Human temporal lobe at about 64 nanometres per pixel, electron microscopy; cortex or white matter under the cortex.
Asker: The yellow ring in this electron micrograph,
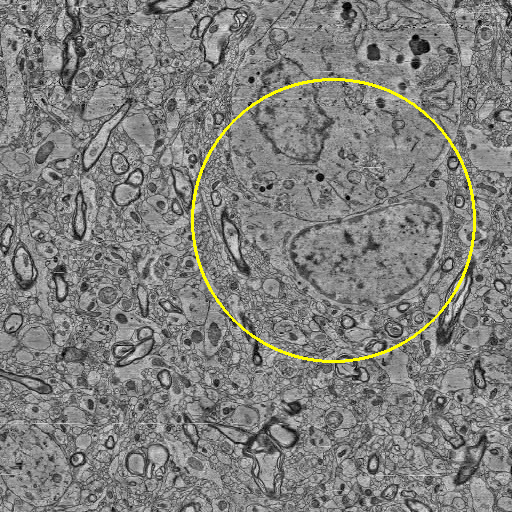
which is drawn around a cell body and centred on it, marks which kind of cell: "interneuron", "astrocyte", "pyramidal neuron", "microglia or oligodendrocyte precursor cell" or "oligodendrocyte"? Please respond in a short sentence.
The marked cell is a microglial cell or oligodendrocyte precursor cell.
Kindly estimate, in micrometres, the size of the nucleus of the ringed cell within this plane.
In this plane, approximately 10 by 6 micrometers.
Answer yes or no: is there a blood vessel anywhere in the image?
No, no blood vessel can be seen.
